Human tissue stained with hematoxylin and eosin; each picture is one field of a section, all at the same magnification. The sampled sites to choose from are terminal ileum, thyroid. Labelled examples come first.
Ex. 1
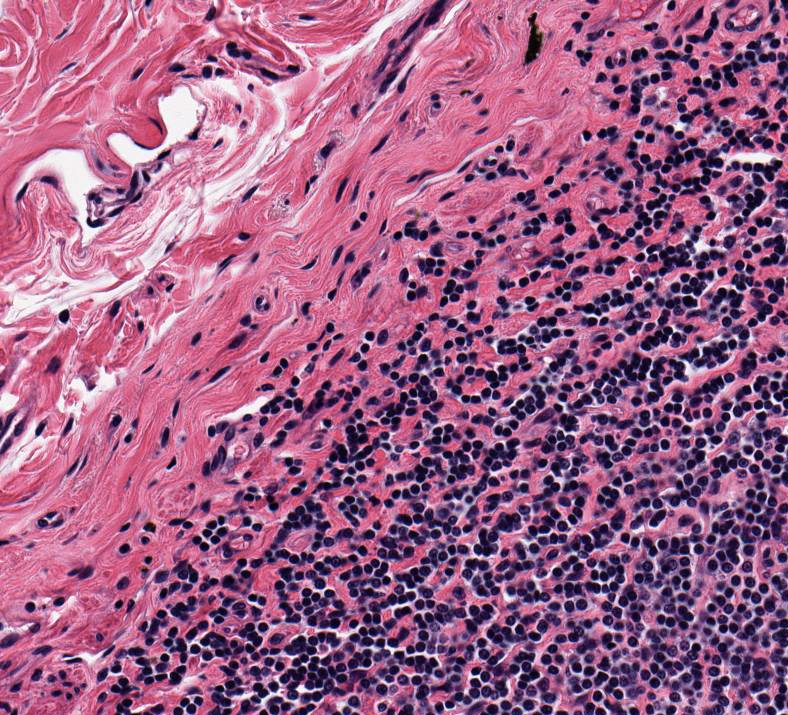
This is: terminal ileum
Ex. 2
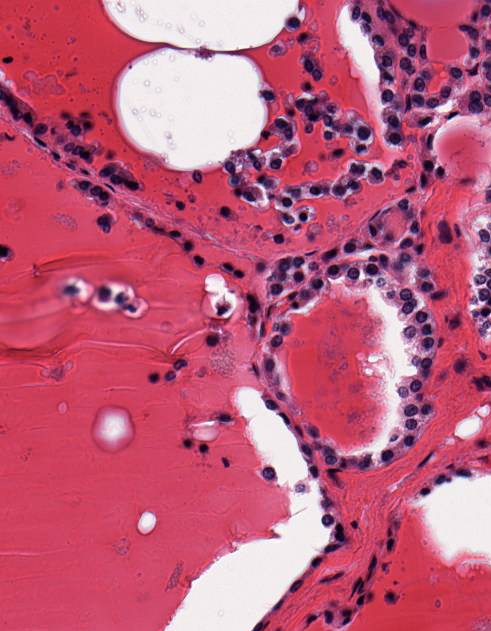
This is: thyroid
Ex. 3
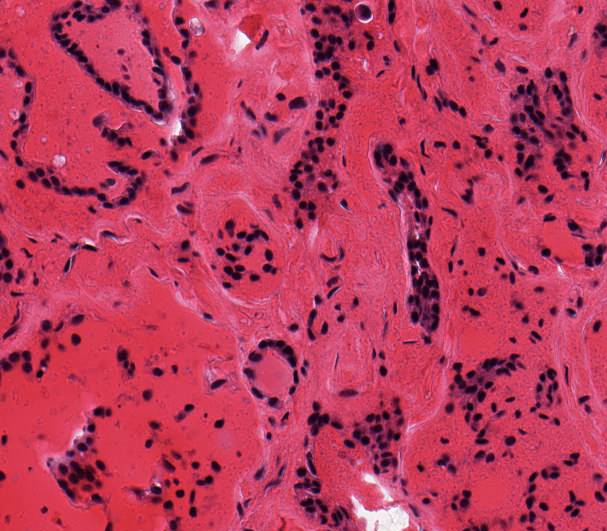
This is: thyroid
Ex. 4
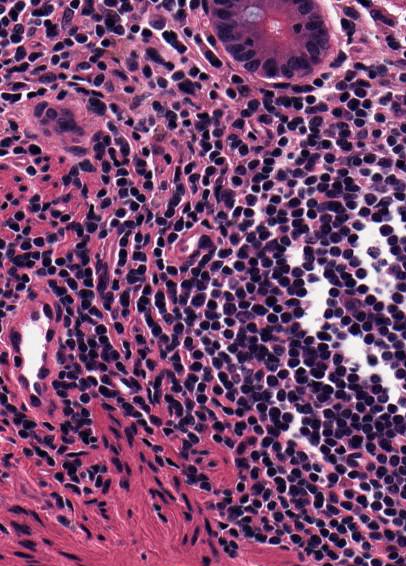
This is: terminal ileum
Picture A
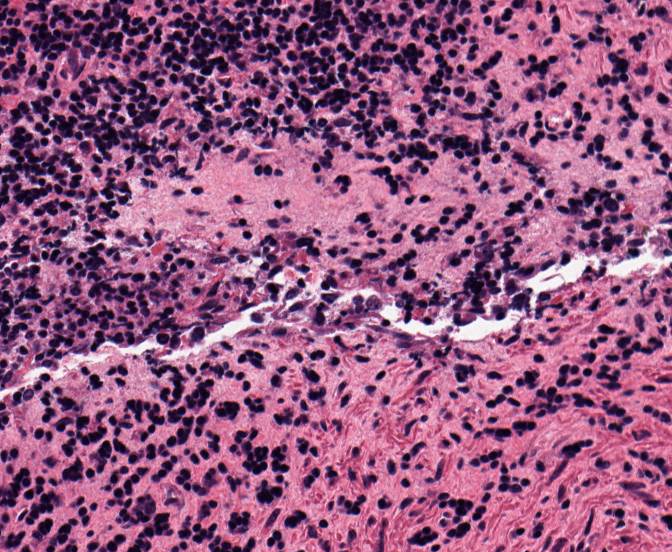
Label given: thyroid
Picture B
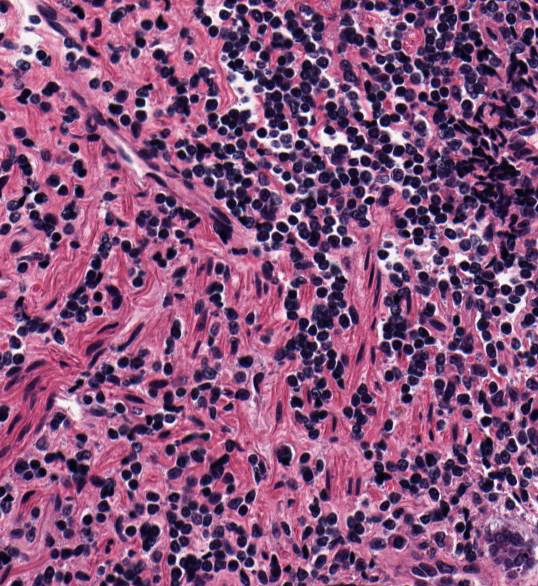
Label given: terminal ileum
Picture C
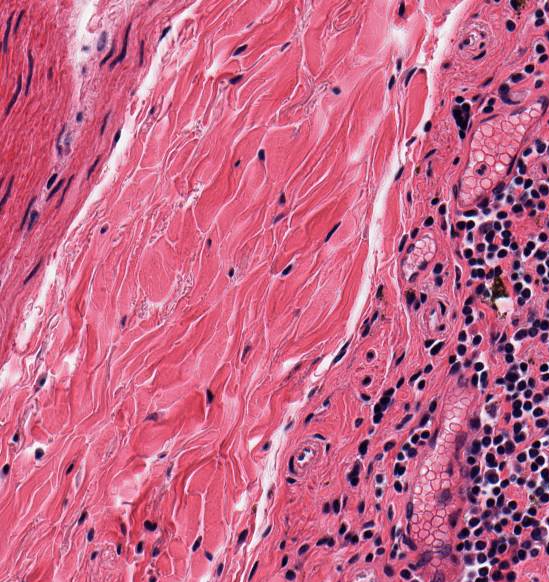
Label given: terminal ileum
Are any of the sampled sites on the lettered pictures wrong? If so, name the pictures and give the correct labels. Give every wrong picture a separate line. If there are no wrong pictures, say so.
A is labelled thyroid; correct label: terminal ileum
